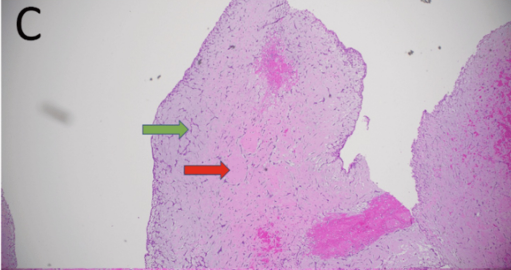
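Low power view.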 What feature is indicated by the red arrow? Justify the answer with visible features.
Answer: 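Myxoid background. This pale loose matrix takes up most of the fragment.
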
